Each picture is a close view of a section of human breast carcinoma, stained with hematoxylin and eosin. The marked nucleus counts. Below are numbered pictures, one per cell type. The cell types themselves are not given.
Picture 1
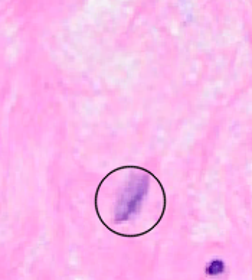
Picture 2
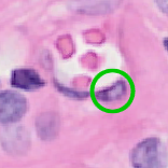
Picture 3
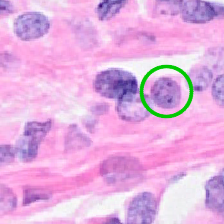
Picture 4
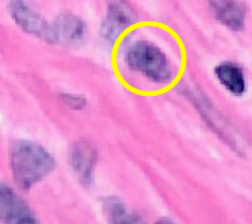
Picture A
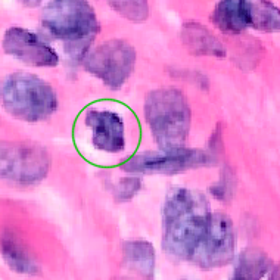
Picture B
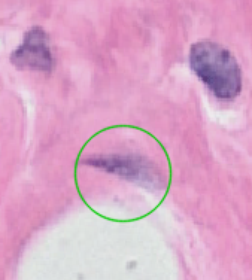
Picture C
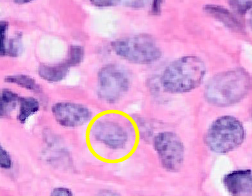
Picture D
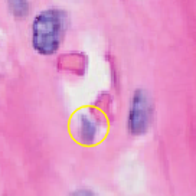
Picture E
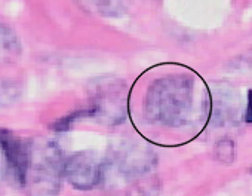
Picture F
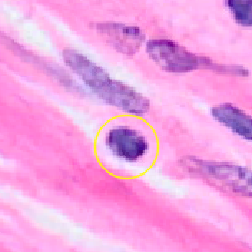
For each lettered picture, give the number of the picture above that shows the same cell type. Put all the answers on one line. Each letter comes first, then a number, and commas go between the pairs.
A 4, B 1, C 3, D 2, E 3, F 4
